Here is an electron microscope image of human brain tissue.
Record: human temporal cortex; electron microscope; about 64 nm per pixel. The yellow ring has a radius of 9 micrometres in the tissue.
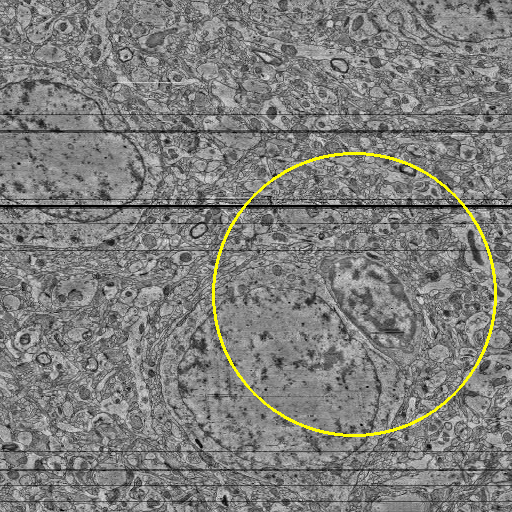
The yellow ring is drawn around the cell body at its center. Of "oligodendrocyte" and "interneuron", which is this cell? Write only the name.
oligodendrocyte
